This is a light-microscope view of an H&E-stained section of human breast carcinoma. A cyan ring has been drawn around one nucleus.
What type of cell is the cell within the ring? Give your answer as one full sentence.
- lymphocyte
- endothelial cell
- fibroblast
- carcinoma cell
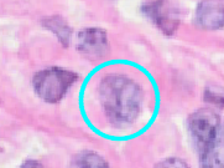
As far as its identity is concerned, the cell within the ring is a carcinoma cell.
